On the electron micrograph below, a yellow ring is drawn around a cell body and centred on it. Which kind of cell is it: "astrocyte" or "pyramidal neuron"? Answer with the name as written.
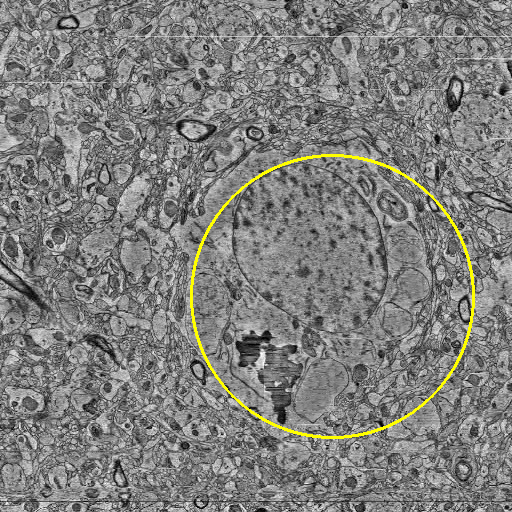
astrocyte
